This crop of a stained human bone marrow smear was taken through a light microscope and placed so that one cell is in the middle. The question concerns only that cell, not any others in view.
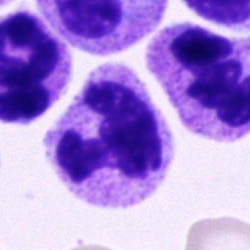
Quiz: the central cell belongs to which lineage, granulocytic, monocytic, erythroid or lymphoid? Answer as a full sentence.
The cell situated centrally in the crop is of the granulocytic lineage.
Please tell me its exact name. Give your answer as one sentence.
The cell shown in the center of this light-microscope crop is a segmented neutrophil.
